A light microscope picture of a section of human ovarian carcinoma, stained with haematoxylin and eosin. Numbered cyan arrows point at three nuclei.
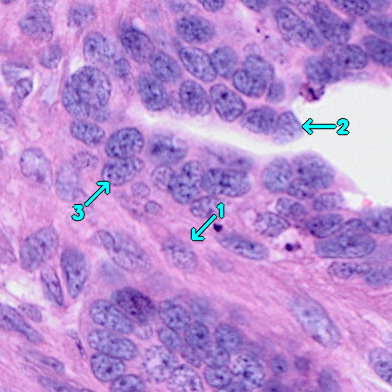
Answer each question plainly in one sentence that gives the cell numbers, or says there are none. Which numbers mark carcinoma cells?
The cells marked with the numbers 2 and 3 are carcinoma cells.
